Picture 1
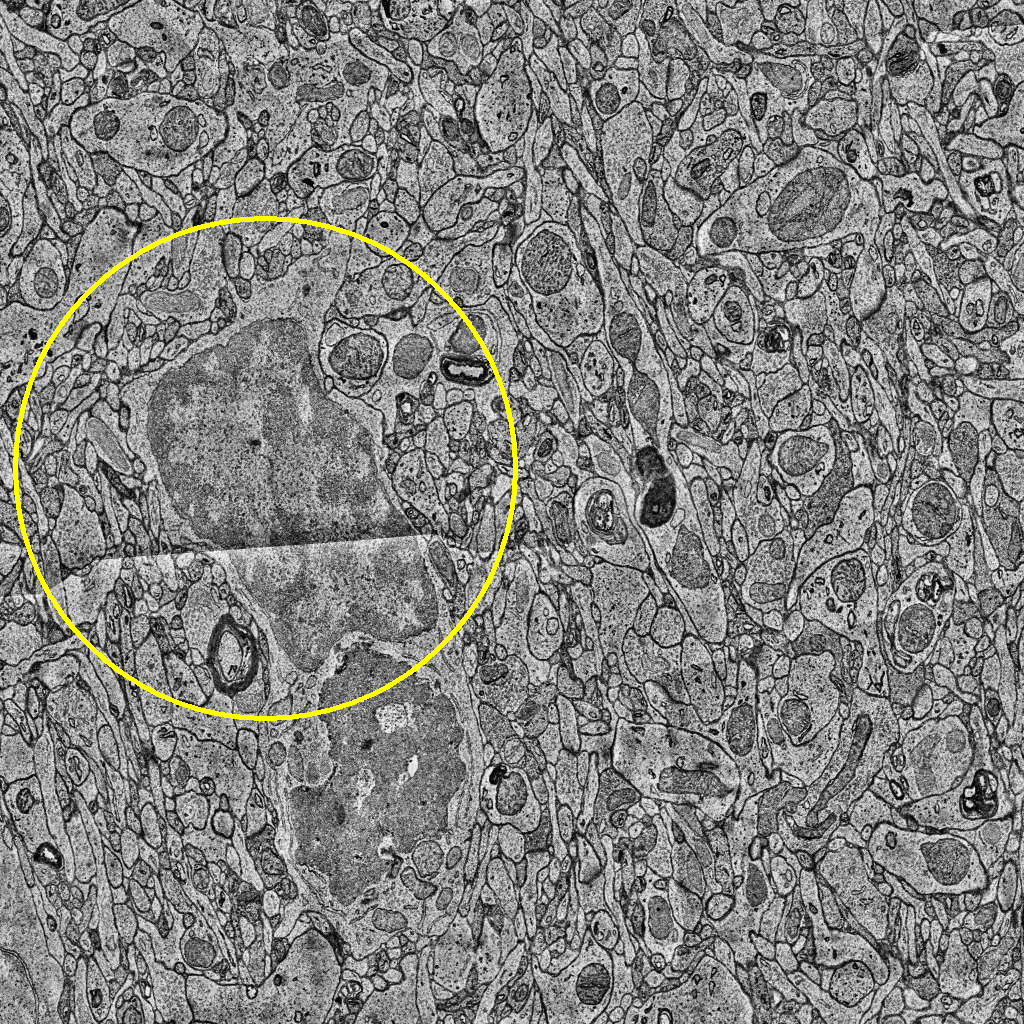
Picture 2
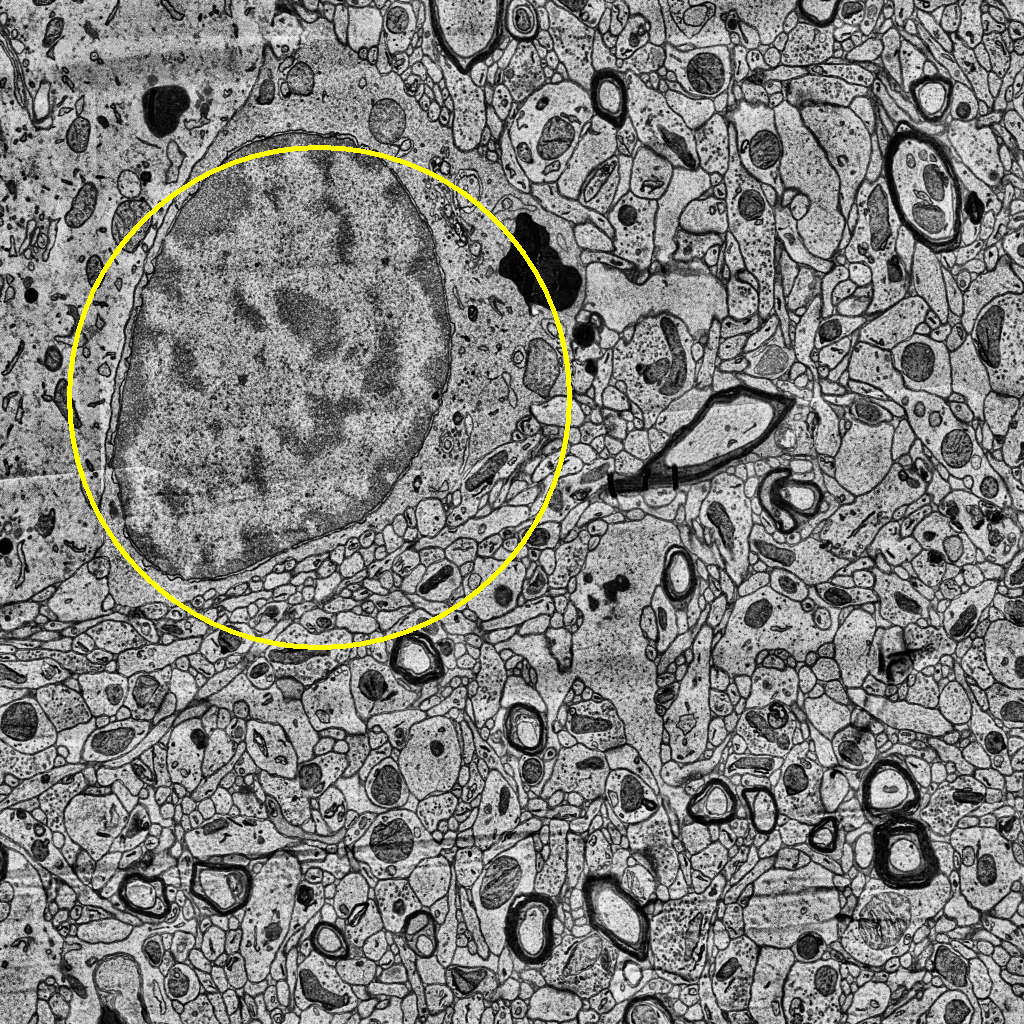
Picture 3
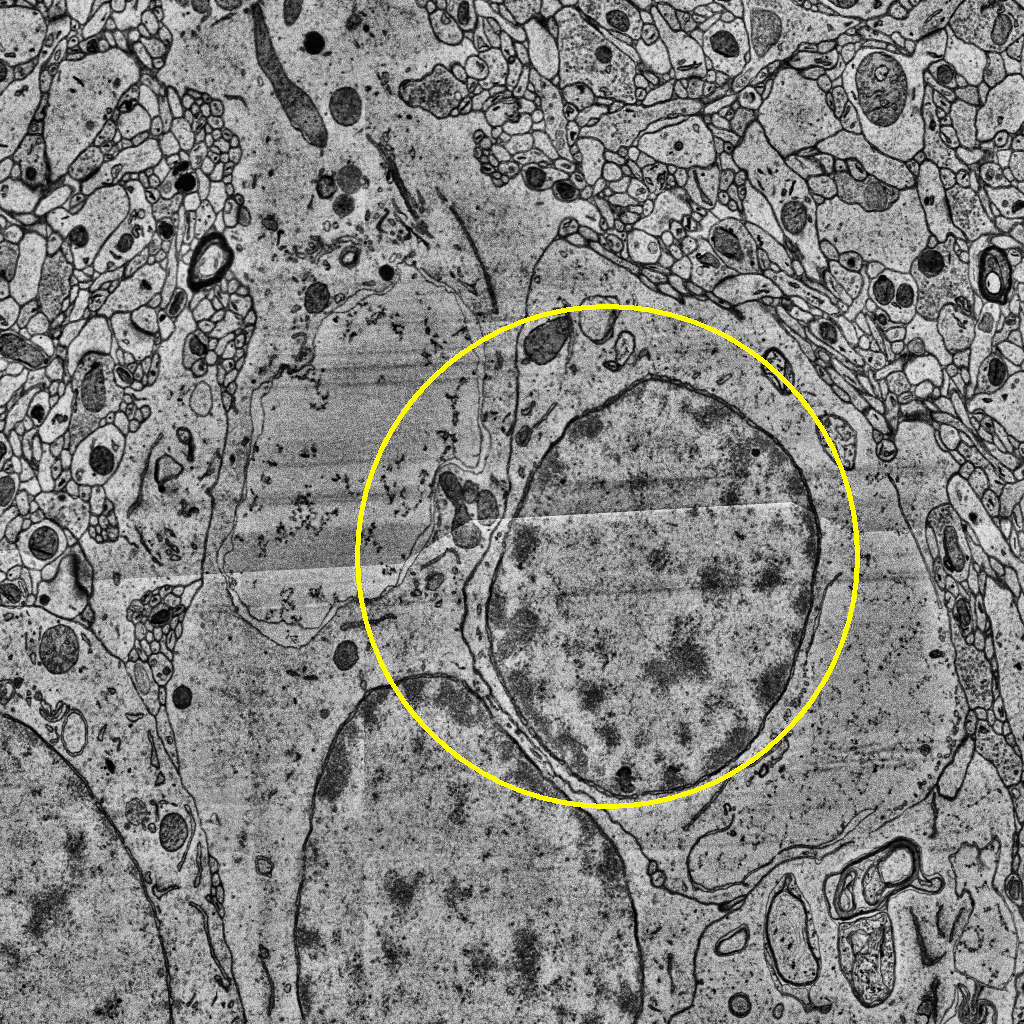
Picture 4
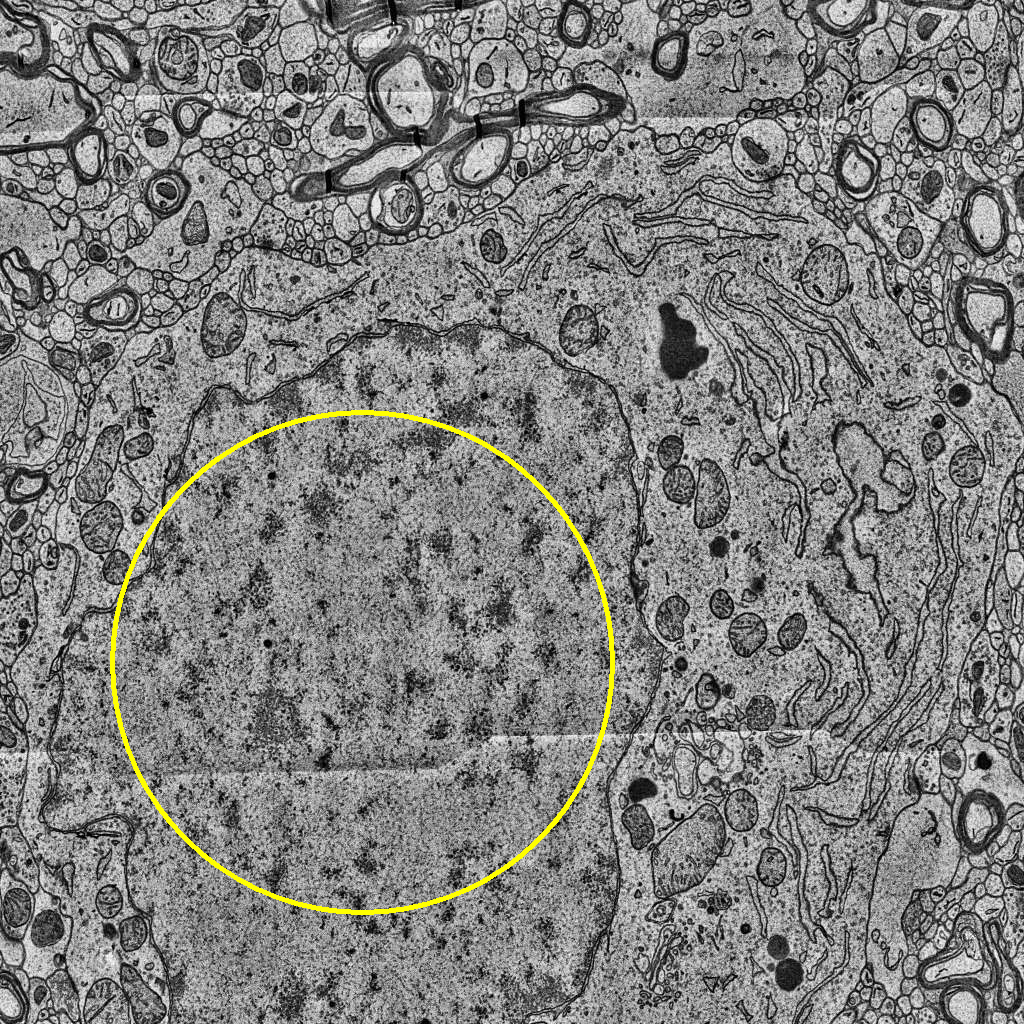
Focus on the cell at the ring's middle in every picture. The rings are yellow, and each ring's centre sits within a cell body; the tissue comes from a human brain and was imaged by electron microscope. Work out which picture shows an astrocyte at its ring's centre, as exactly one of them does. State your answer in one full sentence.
In picture 3, the ring's centre lies inside the cell in question.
